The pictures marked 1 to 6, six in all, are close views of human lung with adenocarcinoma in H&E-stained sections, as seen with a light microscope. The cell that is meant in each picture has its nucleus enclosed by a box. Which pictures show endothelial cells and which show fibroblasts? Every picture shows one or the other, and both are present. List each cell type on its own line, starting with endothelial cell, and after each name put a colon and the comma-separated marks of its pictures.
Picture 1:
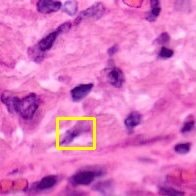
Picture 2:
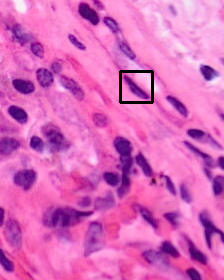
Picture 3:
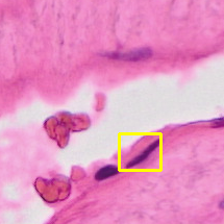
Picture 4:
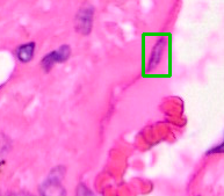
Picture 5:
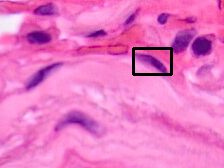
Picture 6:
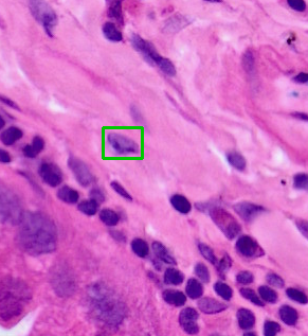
endothelial cell: 2, 3, 4, 5
fibroblast: 1, 6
